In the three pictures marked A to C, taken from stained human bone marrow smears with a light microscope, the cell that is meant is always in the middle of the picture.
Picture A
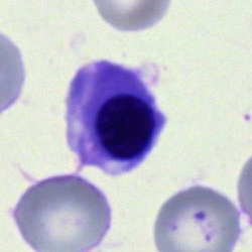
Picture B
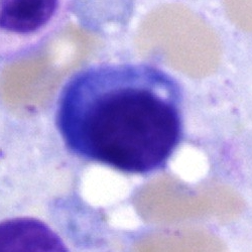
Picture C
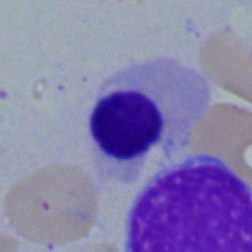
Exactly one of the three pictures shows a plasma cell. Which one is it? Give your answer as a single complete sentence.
The cell in picture B is the plasma cell.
